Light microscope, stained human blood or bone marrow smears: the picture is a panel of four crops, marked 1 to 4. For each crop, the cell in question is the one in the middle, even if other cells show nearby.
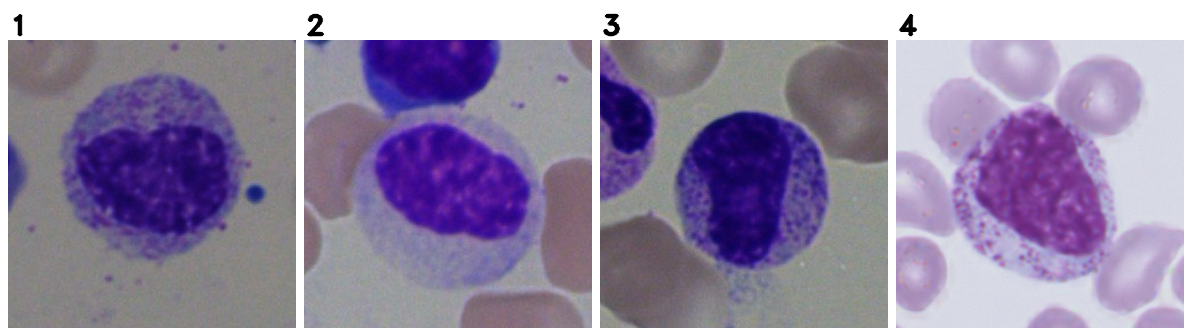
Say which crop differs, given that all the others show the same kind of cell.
4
